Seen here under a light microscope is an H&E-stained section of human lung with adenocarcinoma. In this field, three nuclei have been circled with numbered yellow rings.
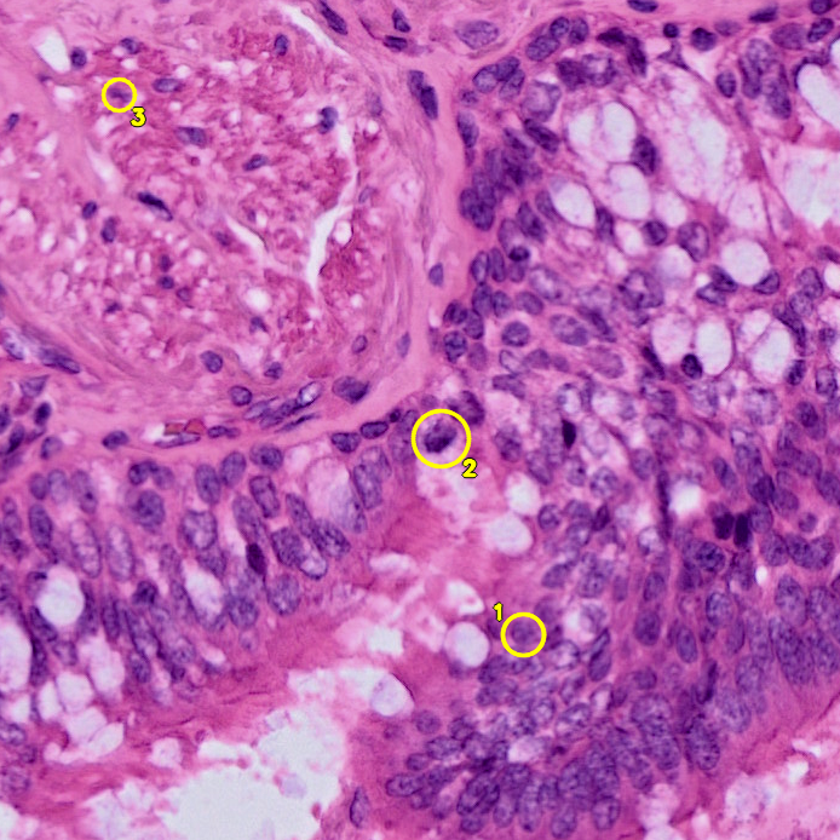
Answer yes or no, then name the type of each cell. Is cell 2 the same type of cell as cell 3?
No, cell 2 is a ciliated epithelial cell and cell 3 is a smooth muscle cell or pericyte.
